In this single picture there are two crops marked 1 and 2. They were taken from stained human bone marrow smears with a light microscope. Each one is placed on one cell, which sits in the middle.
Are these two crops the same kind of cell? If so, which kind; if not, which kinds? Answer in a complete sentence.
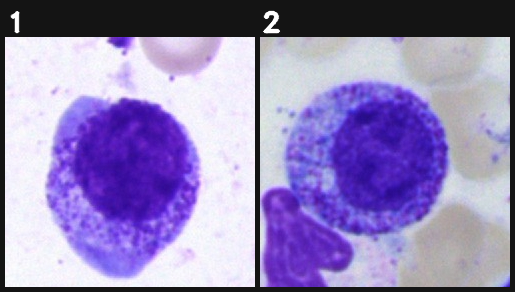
Yes, the central cells, in both crops, are promyelocytes.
